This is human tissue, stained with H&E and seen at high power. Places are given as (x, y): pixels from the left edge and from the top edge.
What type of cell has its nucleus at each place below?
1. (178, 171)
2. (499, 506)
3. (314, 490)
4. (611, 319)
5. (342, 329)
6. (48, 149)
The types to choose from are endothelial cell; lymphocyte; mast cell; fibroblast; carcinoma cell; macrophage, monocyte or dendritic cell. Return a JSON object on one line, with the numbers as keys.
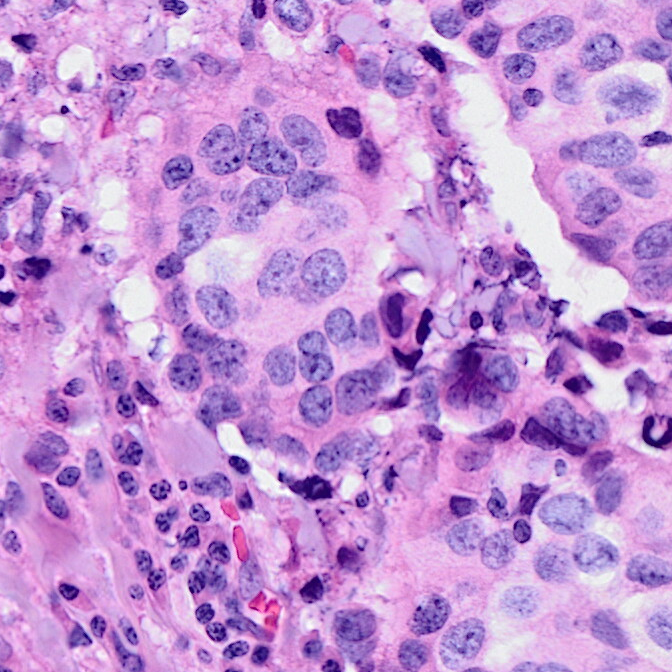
{"1": "carcinoma cell", "2": "lymphocyte", "3": "carcinoma cell", "4": "carcinoma cell", "5": "carcinoma cell", "6": "macrophage, monocyte or dendritic cell"}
